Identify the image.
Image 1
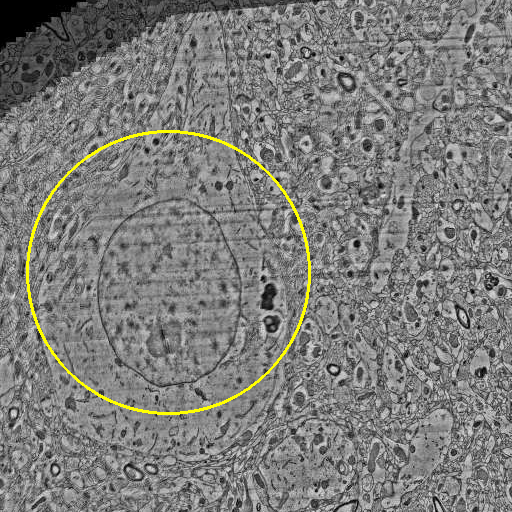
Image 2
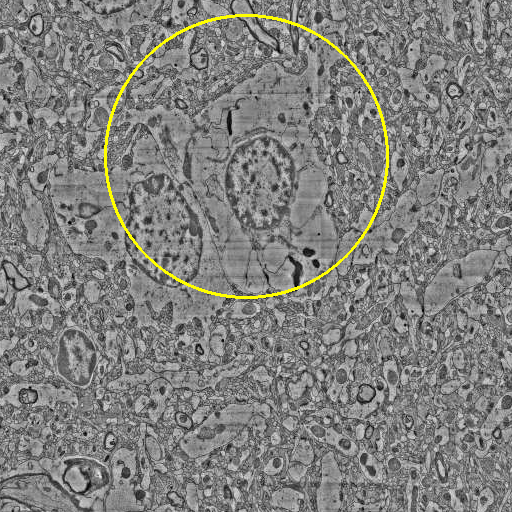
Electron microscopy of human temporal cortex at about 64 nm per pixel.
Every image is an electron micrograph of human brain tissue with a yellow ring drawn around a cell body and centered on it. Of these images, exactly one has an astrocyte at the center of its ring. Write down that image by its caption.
Image 2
